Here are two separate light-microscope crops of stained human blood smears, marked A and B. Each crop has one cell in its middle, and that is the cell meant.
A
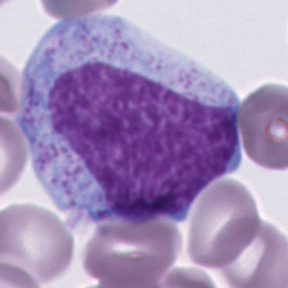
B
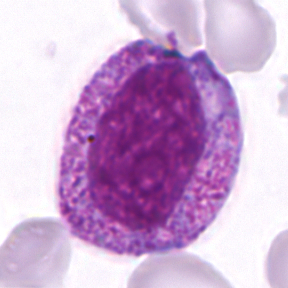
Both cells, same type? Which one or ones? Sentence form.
Yes, as shown in both crops, the central cells are promyelocytes.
